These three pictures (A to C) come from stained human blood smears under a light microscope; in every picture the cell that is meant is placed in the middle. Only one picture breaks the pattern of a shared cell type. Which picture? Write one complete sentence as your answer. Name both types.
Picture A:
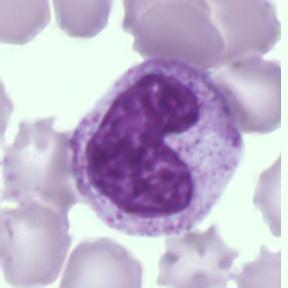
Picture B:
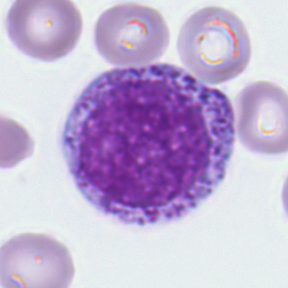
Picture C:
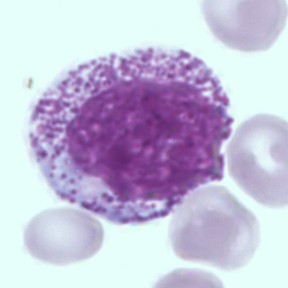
Picture A differs, because its cell is a metamyelocyte and the rest are myelocytes.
